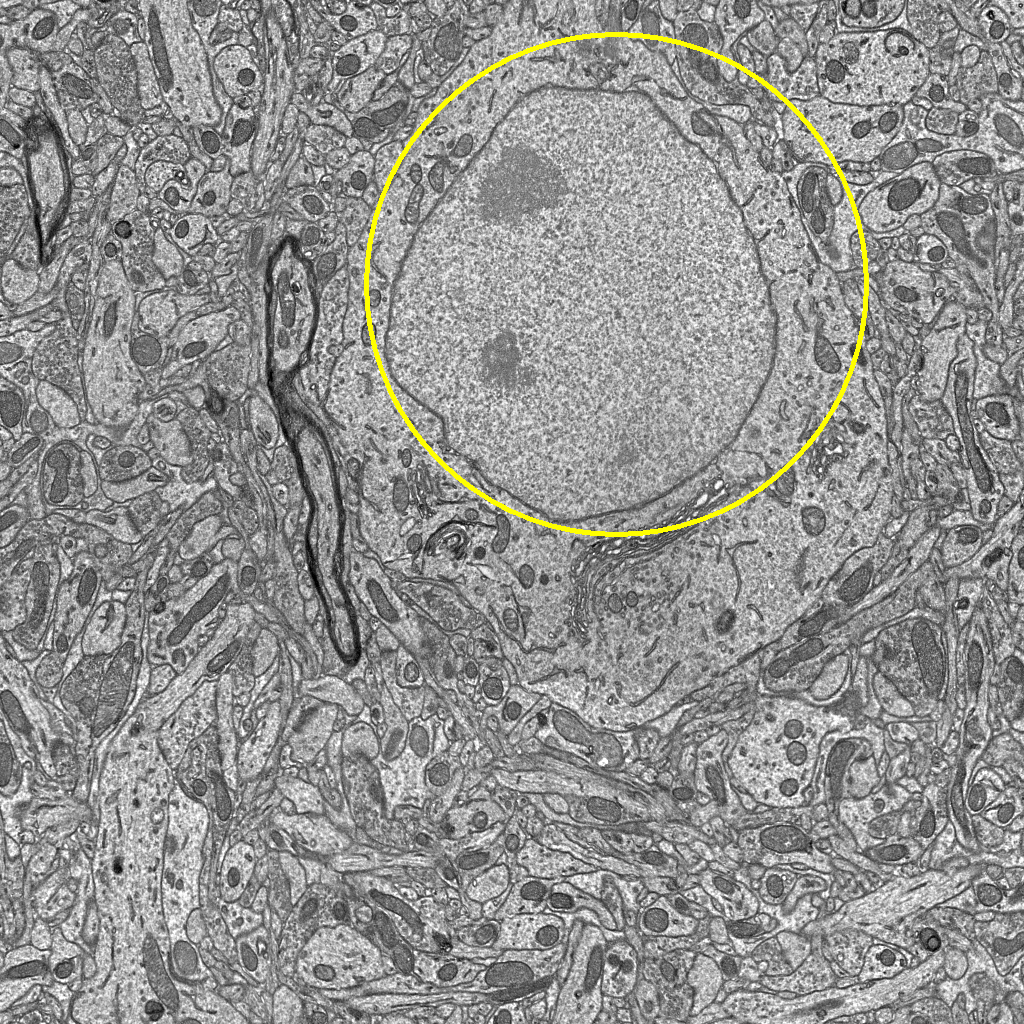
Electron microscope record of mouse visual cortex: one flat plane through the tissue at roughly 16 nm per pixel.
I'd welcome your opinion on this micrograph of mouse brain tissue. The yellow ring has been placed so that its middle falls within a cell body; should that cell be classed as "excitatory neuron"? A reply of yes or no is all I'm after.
yes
